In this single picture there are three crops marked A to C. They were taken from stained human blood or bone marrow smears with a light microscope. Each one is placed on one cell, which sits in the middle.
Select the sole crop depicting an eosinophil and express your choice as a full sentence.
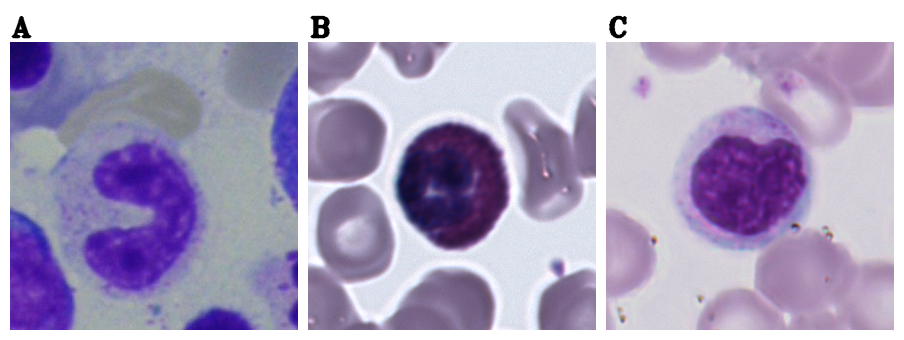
The one showing an eosinophil is the crop labelled B.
